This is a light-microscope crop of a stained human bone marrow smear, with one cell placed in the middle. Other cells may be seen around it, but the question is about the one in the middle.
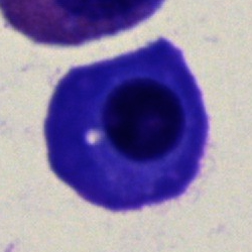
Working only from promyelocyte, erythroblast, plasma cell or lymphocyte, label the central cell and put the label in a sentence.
In this smear crop, the middle cell is a plasma cell.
